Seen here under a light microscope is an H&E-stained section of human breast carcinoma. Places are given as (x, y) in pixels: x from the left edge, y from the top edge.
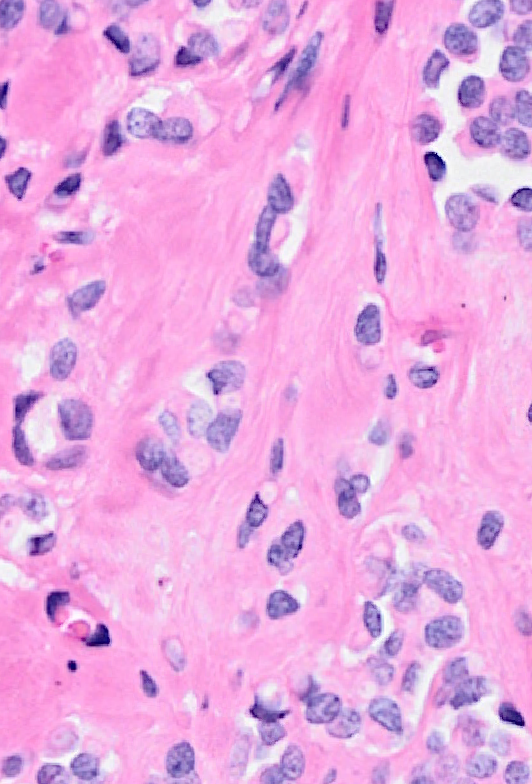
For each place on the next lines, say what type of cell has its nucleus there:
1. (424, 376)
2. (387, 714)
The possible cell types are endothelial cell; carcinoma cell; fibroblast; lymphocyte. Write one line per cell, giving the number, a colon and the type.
1: endothelial cell
2: carcinoma cell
